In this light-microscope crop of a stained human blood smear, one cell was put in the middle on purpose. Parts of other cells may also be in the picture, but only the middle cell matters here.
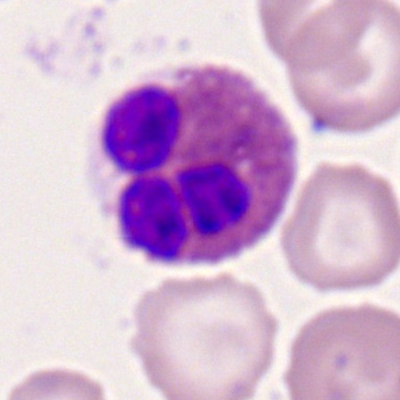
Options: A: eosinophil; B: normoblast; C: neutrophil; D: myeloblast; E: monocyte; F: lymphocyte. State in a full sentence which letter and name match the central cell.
Option A holds, for the cell in the middle is an eosinophil.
